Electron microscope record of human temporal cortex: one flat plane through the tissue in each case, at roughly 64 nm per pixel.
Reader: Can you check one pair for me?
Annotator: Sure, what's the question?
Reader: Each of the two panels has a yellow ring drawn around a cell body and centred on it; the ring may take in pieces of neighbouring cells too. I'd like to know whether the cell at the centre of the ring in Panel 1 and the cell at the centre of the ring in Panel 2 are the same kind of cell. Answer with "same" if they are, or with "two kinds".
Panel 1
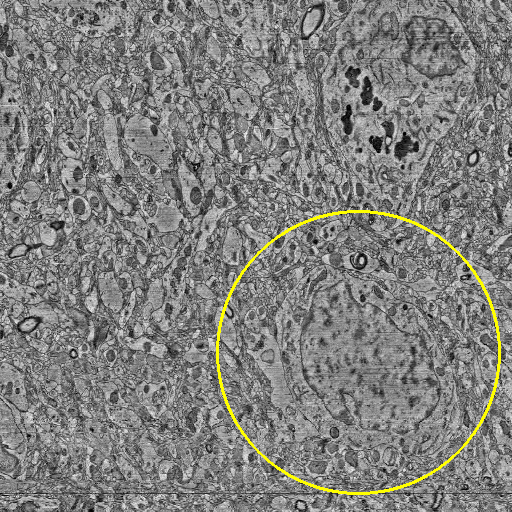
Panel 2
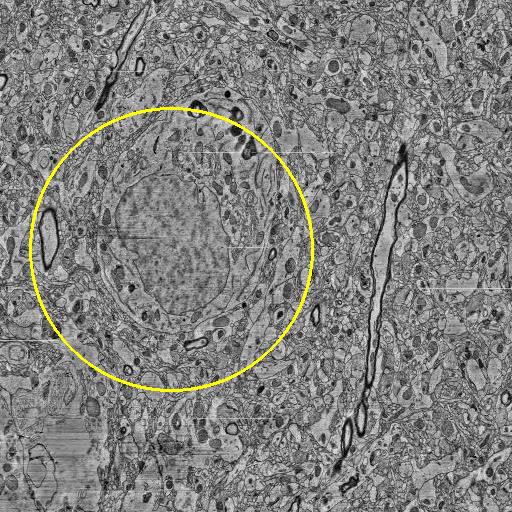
same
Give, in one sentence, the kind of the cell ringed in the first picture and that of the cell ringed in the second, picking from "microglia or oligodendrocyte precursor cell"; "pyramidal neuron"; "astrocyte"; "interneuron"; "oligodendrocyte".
Each of the two rings surrounds an interneuron.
